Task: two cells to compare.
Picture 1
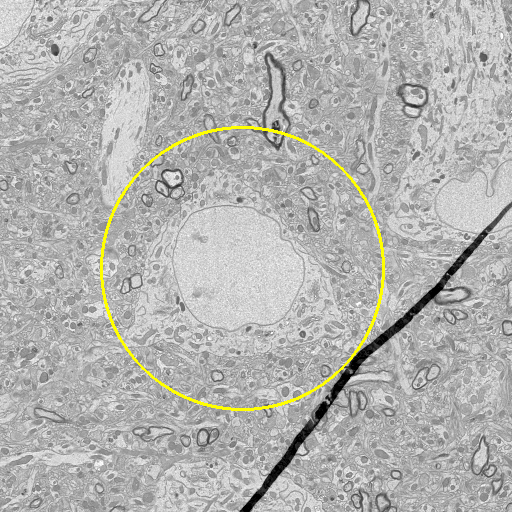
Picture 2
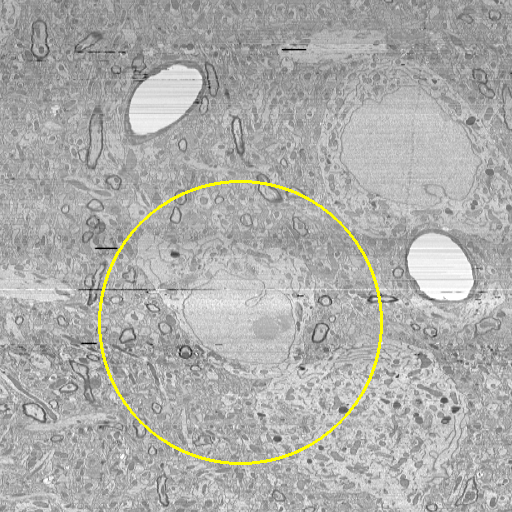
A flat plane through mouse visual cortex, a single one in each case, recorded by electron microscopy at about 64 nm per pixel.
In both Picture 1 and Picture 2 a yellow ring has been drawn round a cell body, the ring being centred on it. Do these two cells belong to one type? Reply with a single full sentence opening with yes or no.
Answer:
Yes, the two cells at the ring centres in Picture 1 and Picture 2 share one type.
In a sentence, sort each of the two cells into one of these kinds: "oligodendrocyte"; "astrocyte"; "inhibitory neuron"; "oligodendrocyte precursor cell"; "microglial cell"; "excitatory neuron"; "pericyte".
The cell at the ring centre is an excitatory neuron in both pictures.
